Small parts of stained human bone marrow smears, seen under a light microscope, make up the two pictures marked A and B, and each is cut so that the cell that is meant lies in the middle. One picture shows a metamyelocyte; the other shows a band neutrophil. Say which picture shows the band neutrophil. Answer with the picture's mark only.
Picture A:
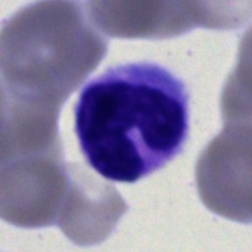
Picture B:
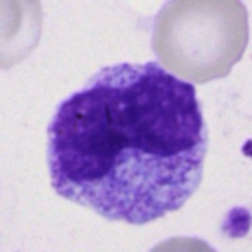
A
